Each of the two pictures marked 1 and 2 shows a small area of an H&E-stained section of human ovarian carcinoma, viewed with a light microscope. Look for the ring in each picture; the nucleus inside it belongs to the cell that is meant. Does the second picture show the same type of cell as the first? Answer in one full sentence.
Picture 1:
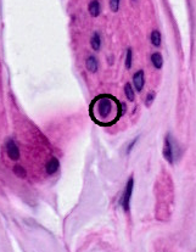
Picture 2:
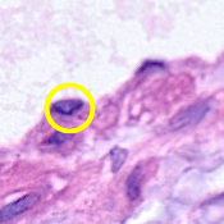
No, picture 1 shows a smooth muscle cell and picture 2 shows an endothelial cell.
